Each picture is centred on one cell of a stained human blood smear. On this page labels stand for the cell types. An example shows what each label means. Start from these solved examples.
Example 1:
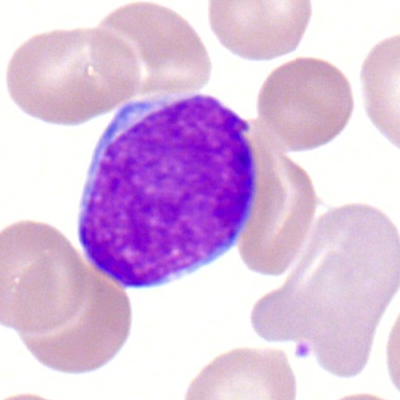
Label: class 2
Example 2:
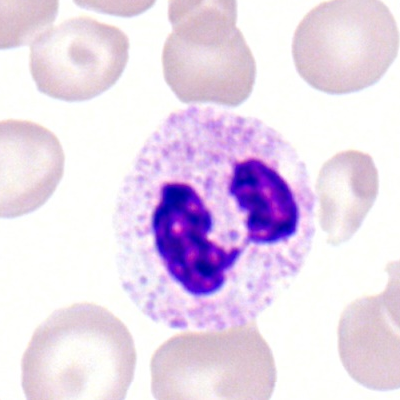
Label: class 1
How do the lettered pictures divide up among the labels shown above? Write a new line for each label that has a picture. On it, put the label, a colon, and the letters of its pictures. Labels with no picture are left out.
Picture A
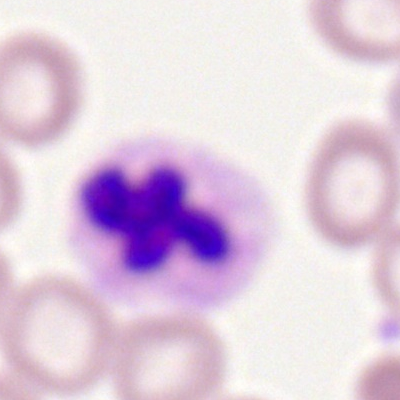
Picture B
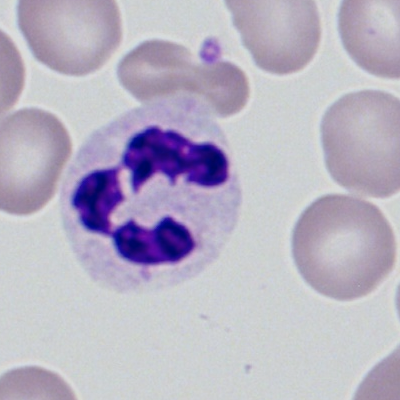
class 1: A, B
